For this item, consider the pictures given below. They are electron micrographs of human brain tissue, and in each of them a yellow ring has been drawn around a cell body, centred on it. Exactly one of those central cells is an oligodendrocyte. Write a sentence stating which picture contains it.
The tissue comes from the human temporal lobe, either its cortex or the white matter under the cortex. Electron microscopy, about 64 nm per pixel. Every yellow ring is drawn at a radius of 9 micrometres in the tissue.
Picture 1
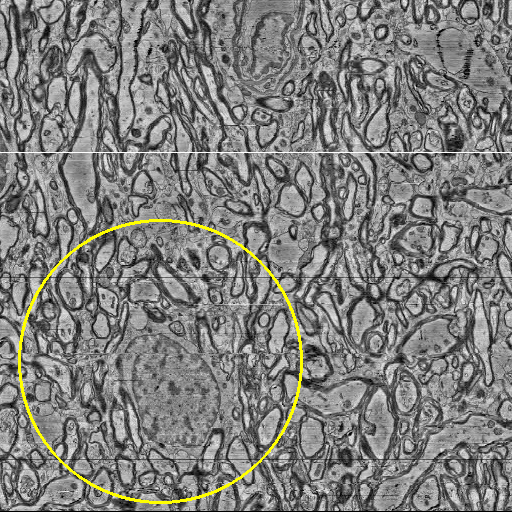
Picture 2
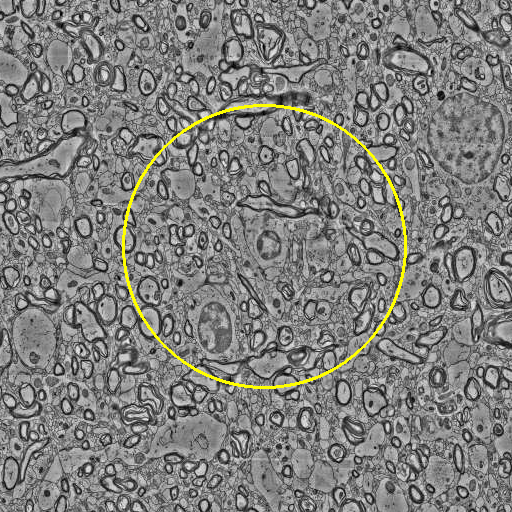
It is in Picture 1.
